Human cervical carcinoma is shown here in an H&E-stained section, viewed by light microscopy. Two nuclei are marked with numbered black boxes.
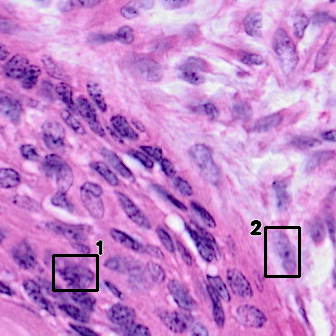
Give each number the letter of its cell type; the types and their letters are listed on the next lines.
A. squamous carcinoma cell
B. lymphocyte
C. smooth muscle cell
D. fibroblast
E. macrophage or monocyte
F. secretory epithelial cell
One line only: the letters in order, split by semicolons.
A; D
